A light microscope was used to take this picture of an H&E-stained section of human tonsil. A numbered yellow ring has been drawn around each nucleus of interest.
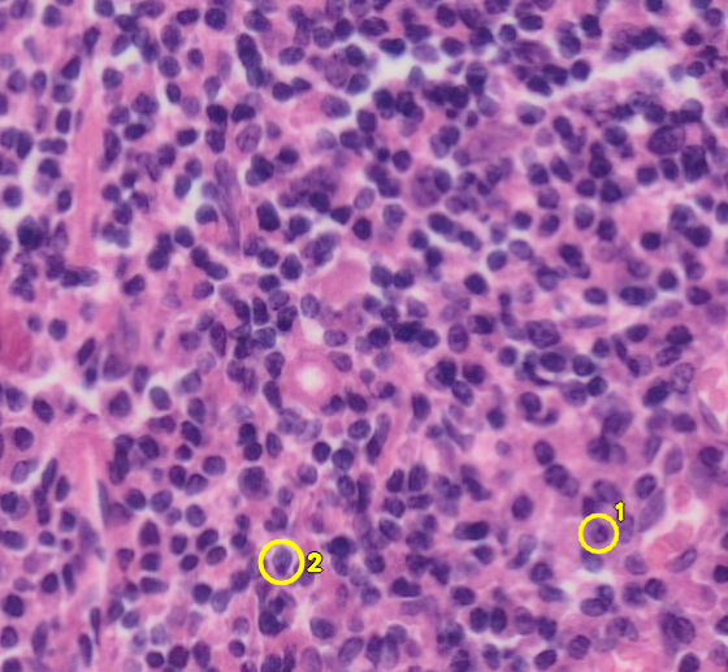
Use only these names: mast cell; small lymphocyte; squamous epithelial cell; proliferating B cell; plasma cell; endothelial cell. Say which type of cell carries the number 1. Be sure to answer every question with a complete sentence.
Cell 1 is classified as a plasma cell.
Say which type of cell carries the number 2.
Within this field of view, the cell labelled 2 is a small lymphocyte.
